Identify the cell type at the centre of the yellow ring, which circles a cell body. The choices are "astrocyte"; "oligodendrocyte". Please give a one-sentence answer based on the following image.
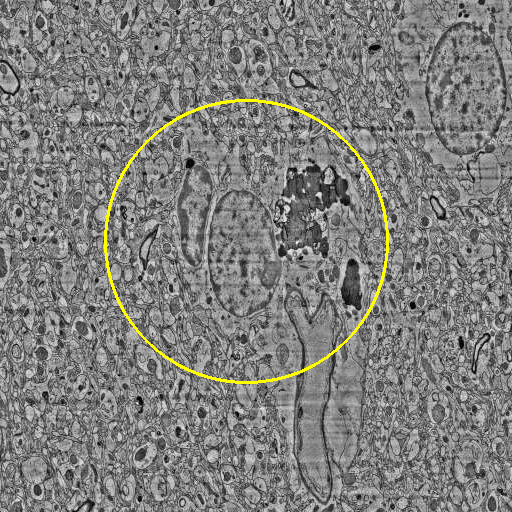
The cell marked by the ring is an astrocyte.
